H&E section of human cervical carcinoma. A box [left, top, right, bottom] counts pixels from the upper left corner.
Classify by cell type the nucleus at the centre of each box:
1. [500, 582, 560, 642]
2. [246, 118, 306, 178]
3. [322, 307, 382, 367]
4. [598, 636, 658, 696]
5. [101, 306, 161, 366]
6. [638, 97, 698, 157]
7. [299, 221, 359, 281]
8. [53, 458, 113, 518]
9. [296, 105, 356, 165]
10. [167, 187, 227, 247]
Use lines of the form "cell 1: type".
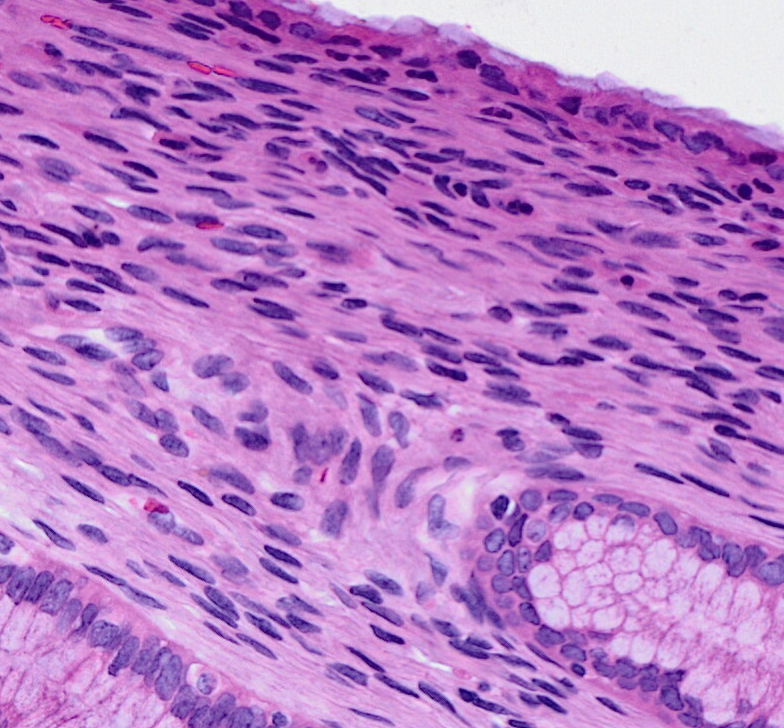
cell 1: secretory epithelial cell
cell 2: fibroblast
cell 3: fibroblast
cell 4: secretory epithelial cell
cell 5: endothelial cell
cell 6: secretory epithelial cell
cell 7: endothelial cell
cell 8: fibroblast
cell 9: fibroblast
cell 10: endothelial cell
